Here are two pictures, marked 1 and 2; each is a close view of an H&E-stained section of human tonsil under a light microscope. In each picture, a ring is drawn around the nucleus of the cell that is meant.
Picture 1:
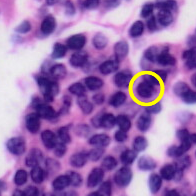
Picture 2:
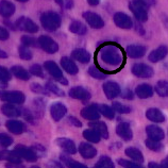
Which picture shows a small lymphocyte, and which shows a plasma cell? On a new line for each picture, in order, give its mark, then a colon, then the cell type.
1: small lymphocyte
2: plasma cell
